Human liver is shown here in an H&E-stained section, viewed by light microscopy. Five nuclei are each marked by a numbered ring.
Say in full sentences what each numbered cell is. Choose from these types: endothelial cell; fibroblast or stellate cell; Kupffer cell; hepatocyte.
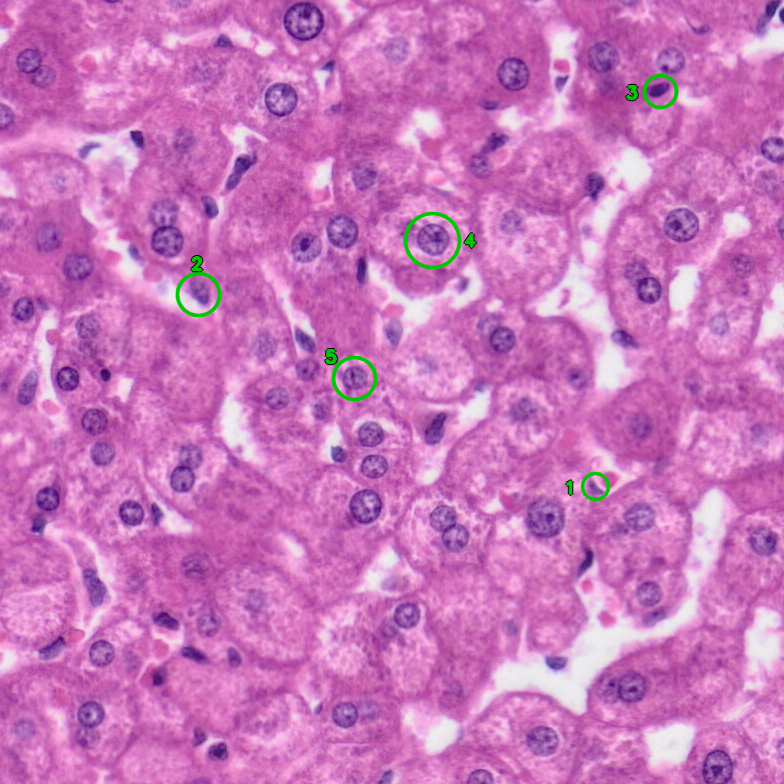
Cell 1 is an endothelial cell. Cell 2 is a Kupffer cell. Cell 3 is a fibroblast or stellate cell. Cells 4 and 5 are hepatocytes.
